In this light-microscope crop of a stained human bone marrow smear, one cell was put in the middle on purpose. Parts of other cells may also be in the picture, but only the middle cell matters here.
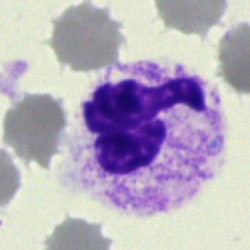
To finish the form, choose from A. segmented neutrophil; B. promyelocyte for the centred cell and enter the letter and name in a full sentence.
Option A is correct in that the central cell is a segmented neutrophil.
